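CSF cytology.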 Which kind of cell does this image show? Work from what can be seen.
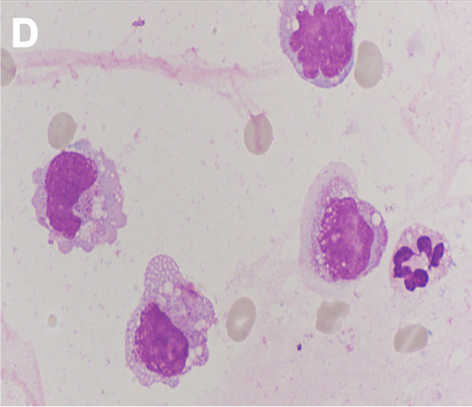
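Several large single cells with one large, irregular purple nucleus each. Abundant pale blue-grey cytoplasm full of small clear vacuoles. Cell borders are irregular, with ruffled or frayed edges. That points to this answer: activated monocytes.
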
